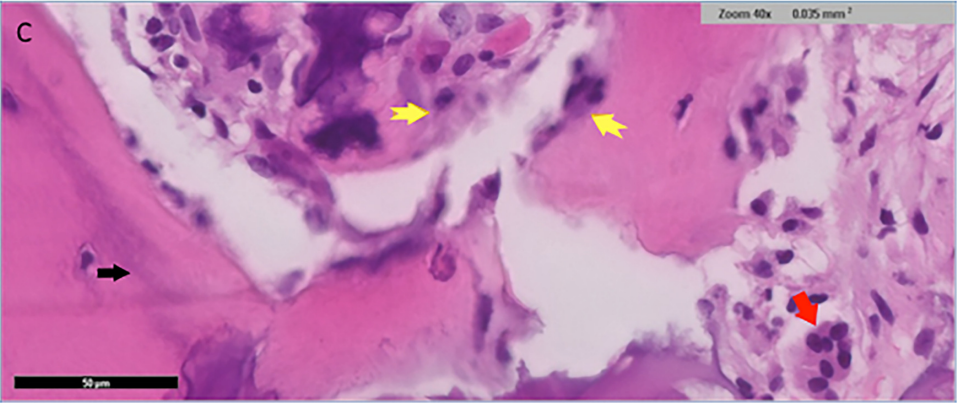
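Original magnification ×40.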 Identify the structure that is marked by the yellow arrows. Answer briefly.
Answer: Osteoblastic rimming.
